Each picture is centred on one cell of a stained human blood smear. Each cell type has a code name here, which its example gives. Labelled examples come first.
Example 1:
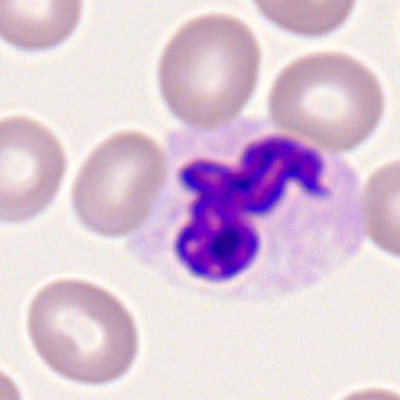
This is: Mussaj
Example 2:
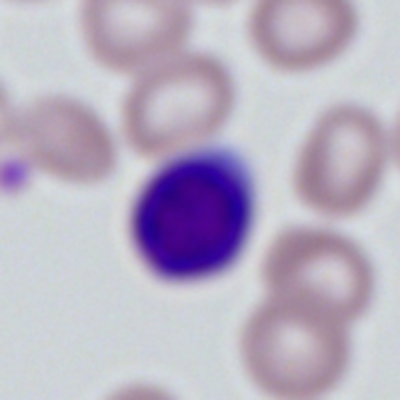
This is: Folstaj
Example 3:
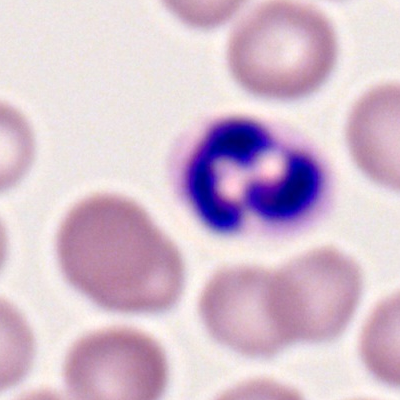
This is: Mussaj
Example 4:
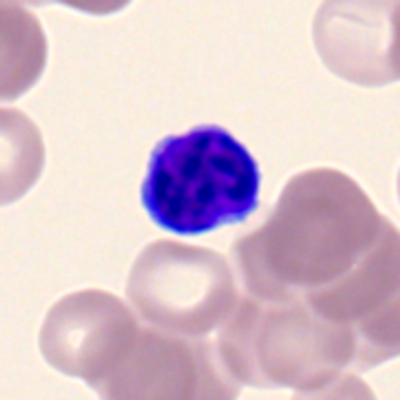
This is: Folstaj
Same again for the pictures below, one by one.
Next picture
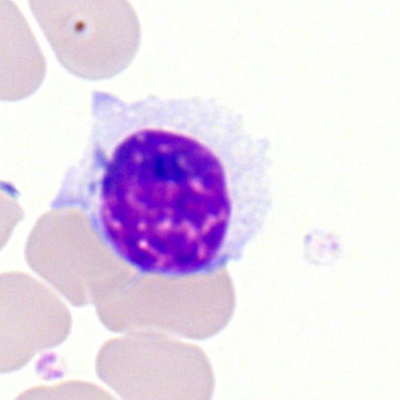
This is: Folstaj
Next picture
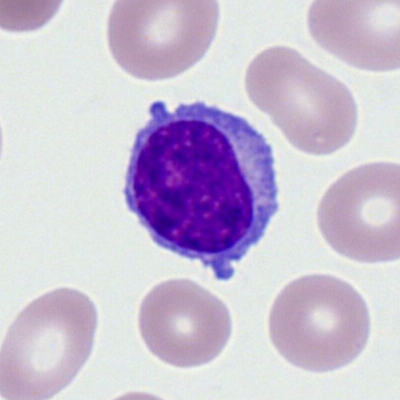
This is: Folstaj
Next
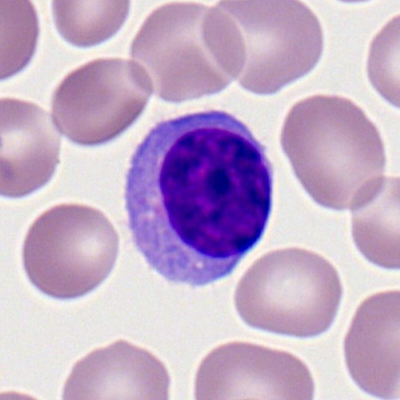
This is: Folstaj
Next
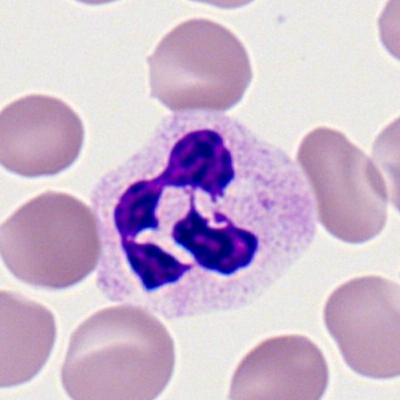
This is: Mussaj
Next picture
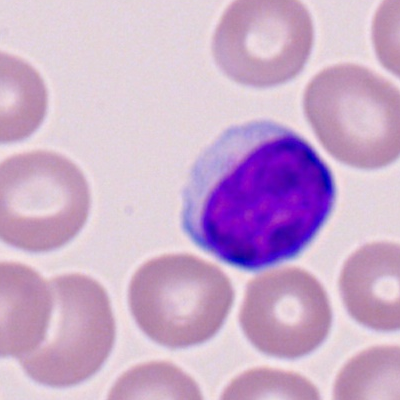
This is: Folstaj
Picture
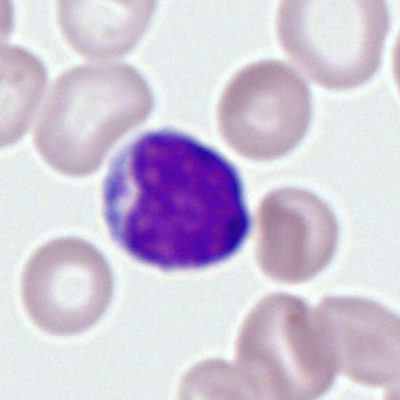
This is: Folstaj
